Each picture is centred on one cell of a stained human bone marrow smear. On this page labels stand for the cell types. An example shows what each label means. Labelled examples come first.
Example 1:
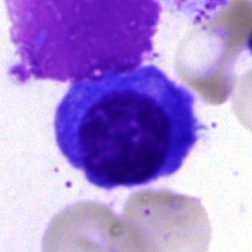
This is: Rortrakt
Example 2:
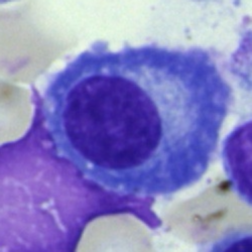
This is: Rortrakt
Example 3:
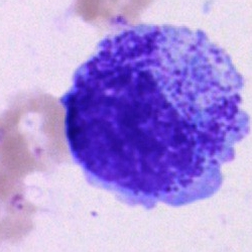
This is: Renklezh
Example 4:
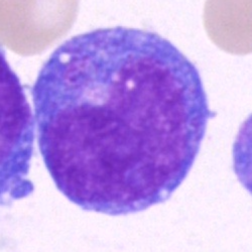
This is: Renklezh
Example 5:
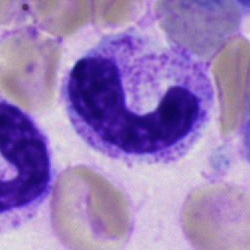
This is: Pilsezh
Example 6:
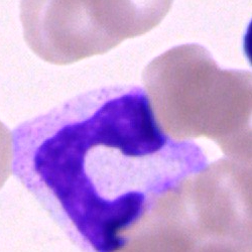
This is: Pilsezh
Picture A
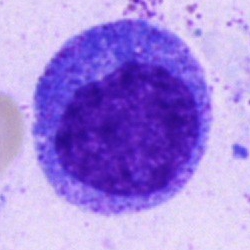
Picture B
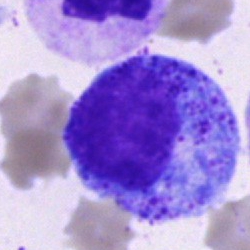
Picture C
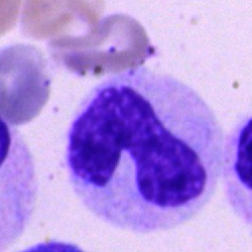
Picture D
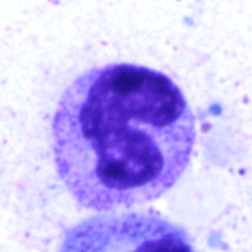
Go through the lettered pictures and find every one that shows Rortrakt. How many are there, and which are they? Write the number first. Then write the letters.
0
